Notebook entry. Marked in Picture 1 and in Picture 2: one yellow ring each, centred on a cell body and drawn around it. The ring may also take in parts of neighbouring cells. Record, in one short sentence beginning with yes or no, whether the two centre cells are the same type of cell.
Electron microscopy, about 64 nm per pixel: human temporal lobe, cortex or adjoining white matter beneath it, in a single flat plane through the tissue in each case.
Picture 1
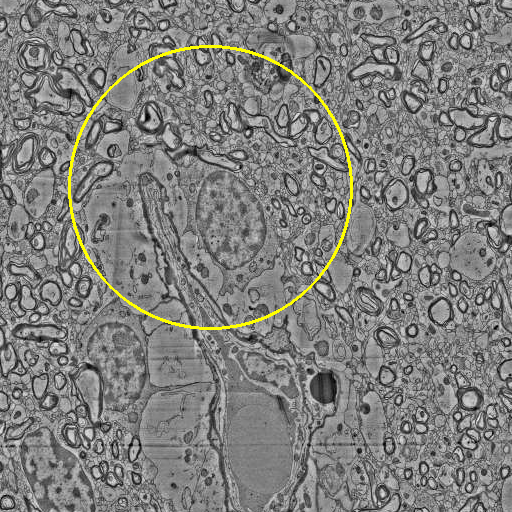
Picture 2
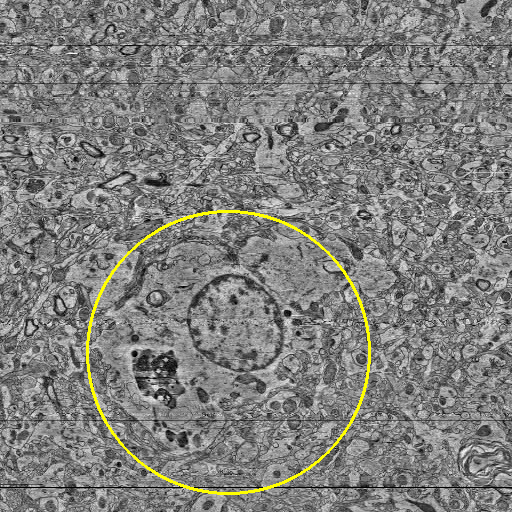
No, they are two types of cell.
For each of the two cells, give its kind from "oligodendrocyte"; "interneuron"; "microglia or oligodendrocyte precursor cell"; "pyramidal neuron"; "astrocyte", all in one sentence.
The first picture has an oligodendrocyte in its ring, the second has an astrocyte.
